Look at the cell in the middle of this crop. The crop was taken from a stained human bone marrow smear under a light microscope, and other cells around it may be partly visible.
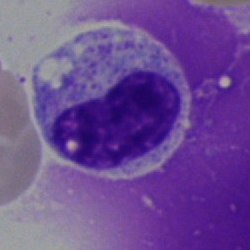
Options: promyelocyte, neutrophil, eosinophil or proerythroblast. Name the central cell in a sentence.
Classified as an eosinophil is the cell in the middle of this crop.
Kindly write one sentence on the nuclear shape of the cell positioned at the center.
In this cell the nucleus is a solitary compact mass, round, oval or kidney-shaped.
